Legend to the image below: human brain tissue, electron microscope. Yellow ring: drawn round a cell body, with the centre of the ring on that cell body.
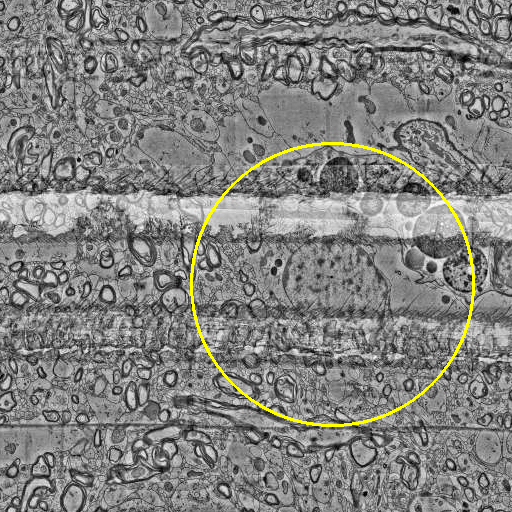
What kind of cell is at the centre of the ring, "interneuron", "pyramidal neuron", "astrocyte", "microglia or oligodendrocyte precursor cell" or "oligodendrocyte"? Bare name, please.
microglia or oligodendrocyte precursor cell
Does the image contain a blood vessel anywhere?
Yes.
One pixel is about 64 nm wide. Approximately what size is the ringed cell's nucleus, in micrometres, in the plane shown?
The nucleus works out at approximately 7 by 6 micrometres in this plane.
